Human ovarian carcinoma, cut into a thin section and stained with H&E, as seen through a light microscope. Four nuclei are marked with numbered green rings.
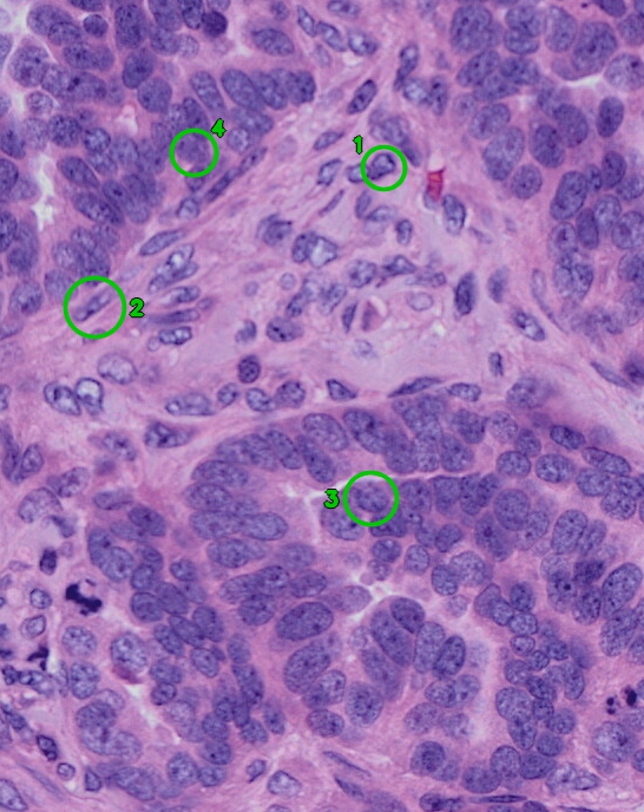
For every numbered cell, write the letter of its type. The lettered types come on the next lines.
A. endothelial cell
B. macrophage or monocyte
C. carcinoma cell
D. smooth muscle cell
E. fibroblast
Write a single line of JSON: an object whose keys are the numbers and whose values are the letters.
{"1": "A", "2": "E", "3": "C", "4": "C"}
